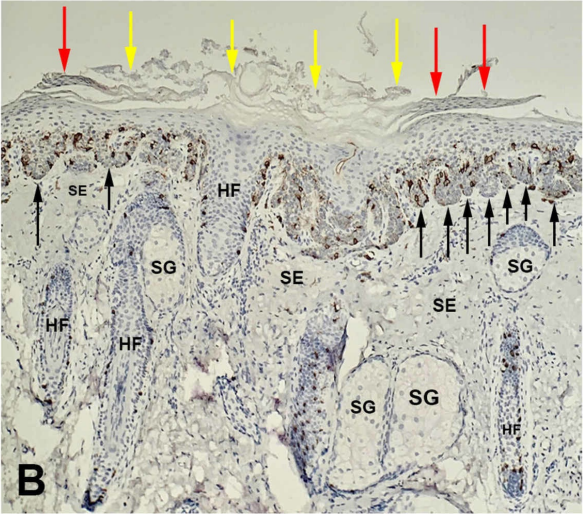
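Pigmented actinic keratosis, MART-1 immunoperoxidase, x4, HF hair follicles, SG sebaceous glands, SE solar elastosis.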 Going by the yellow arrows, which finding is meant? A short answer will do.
Orthokeratosis.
